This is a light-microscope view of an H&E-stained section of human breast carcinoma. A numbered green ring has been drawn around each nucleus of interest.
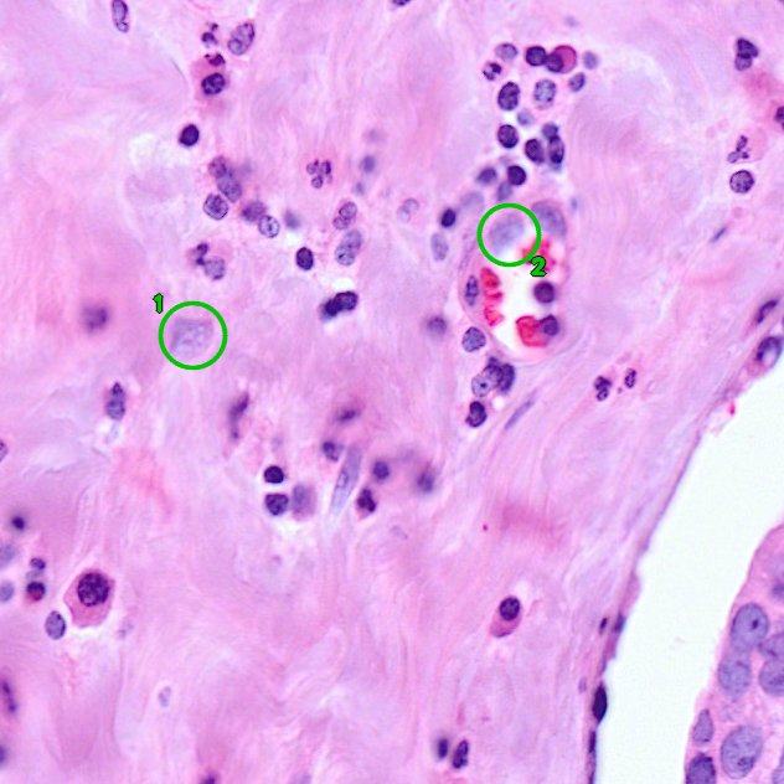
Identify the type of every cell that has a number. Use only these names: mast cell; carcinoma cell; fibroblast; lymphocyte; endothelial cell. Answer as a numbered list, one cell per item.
1. fibroblast
2. endothelial cell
